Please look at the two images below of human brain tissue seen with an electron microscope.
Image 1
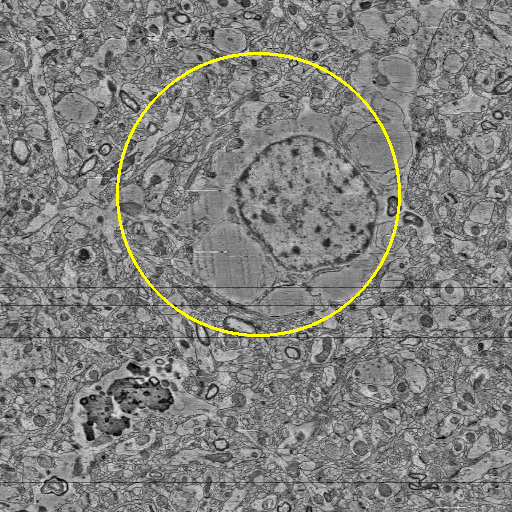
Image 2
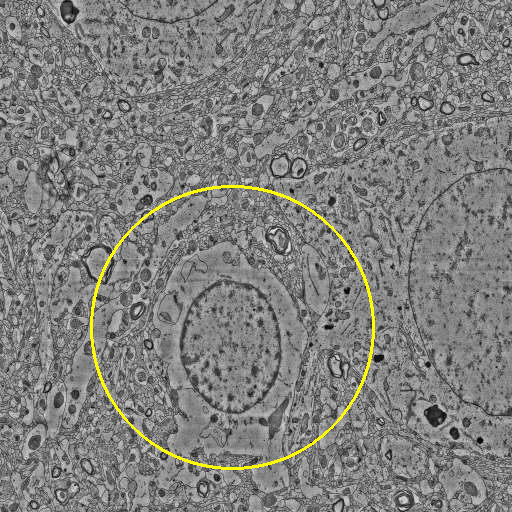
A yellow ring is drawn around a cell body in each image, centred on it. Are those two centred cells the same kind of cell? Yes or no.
yes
